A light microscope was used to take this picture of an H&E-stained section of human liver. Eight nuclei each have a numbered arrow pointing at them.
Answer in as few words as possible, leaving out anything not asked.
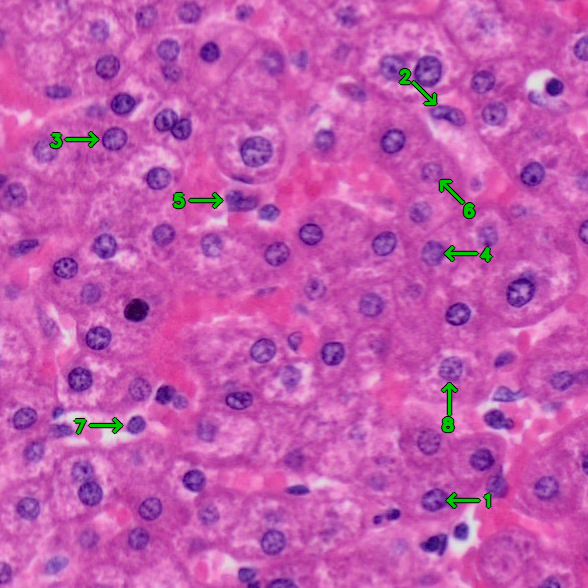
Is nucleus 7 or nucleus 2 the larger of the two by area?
2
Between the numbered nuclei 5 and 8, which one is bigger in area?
8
